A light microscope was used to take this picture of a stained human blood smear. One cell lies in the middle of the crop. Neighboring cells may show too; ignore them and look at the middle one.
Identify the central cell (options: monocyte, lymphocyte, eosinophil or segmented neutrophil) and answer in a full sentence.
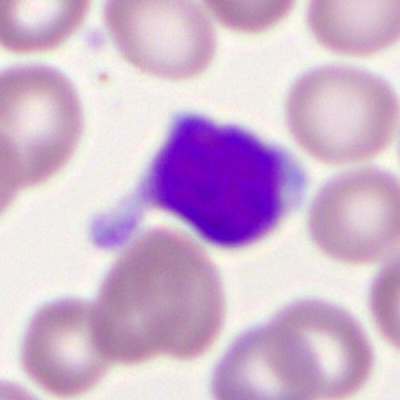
What sits at the centre of this crop is a lymphocyte.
